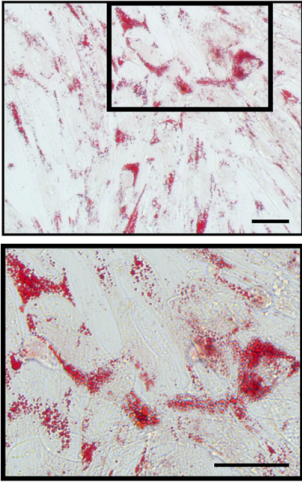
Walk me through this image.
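The culture is a dense layer of elongated, spindle-shaped cells that are largely pale and unstained, with their outlines faintly visible. Scattered among them are cells whose cytoplasm is filled with many small, round, red droplets, which in places crowd together into dense red clusters. The enlarged view shows that the droplets sit within cell bodies and extend along their processes. The red-laden cells are irregularly distributed and do not form a continuous layer. Pale fibroblast-like cells without red droplets lie between them.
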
